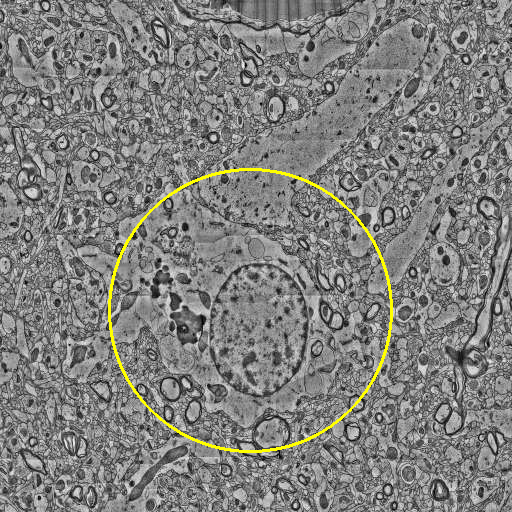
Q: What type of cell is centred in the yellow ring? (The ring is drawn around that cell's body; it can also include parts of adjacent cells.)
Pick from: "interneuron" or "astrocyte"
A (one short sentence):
The yellow ring is centred on an astrocyte.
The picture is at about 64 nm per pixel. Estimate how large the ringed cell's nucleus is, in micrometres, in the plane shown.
About 9 by 6 micrometers, in this plane.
